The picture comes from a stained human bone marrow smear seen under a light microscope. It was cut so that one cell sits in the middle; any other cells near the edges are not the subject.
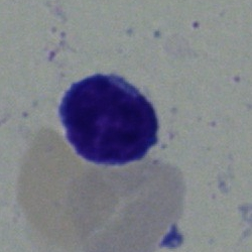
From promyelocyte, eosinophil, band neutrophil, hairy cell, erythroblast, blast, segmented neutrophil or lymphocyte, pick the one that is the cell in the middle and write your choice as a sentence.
In the central position of this crop, the cell is a lymphocyte.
